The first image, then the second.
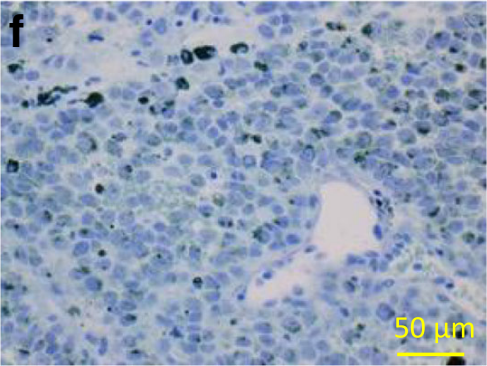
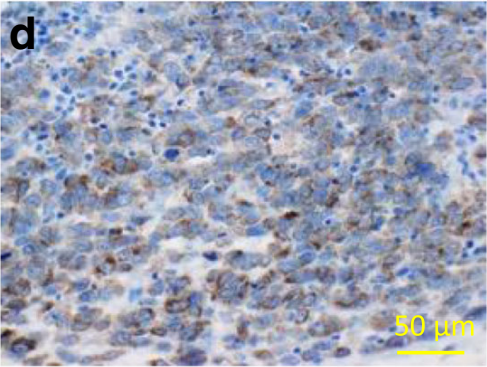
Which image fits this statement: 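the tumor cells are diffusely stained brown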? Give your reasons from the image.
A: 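First image: tumor cells are pale blue with only a few dark pigment clumps, no brown cell staining. Second image: most tumor cells show brown granular staining of their cytoplasm.
Answer: the second image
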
